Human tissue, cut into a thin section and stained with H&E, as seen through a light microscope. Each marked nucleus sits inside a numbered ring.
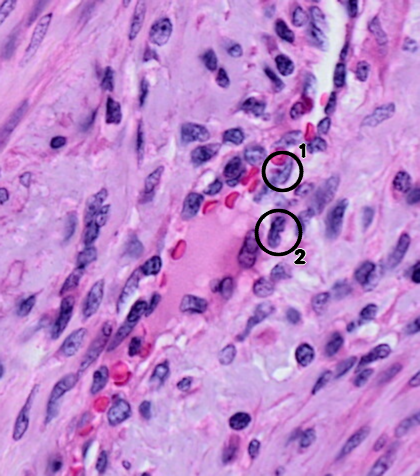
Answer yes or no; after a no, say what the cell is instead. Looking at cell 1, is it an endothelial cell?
Yes.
